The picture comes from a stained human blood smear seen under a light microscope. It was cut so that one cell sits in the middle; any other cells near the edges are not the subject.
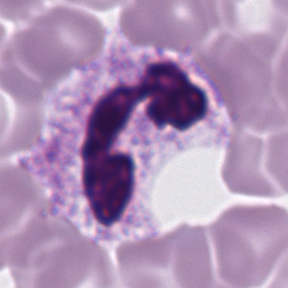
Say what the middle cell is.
segmented neutrophil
